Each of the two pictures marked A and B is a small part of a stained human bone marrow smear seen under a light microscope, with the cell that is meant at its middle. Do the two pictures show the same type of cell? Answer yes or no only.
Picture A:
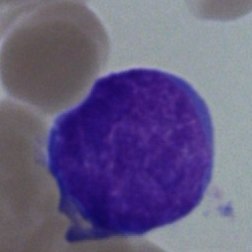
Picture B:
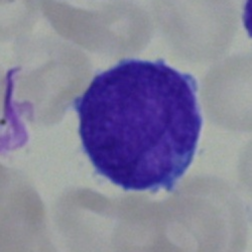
yes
